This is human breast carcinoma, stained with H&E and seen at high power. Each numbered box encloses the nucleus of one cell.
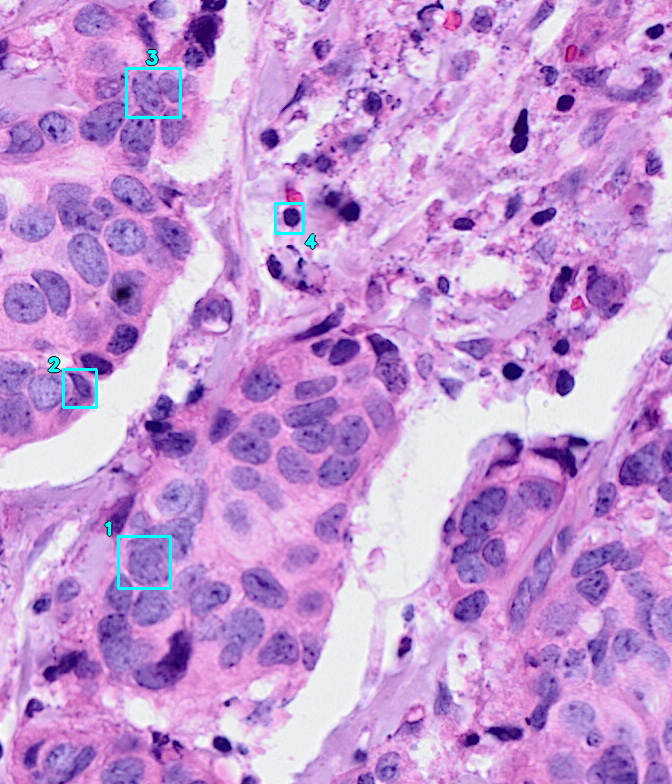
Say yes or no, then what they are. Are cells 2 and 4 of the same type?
No, cell 2 is a carcinoma cell, and cell 4, for its part, is a lymphocyte.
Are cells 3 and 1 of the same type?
Yes, and to be precise, cells 3 and 1 are both carcinoma cells.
